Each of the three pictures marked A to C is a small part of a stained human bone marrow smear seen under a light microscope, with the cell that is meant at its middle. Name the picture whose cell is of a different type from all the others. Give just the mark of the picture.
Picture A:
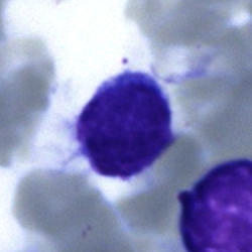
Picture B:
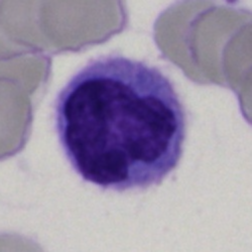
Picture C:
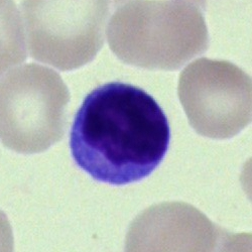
B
